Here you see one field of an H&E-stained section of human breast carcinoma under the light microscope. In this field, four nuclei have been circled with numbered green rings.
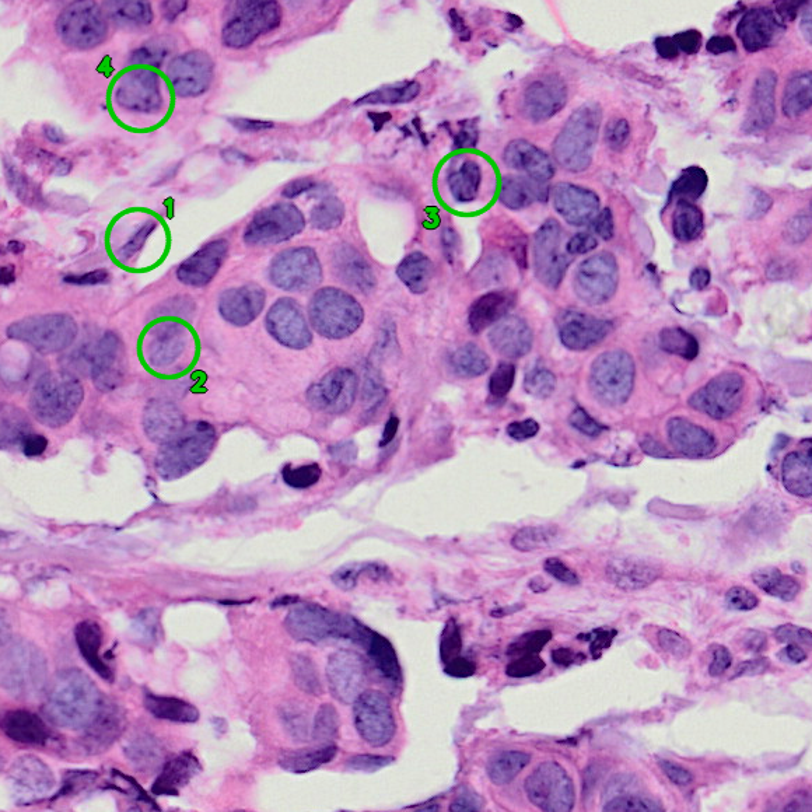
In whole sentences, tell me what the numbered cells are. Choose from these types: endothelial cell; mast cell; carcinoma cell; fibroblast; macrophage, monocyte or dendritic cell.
Cell 1 is a fibroblast. Cells 2, 3 and 4 are carcinoma cells.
